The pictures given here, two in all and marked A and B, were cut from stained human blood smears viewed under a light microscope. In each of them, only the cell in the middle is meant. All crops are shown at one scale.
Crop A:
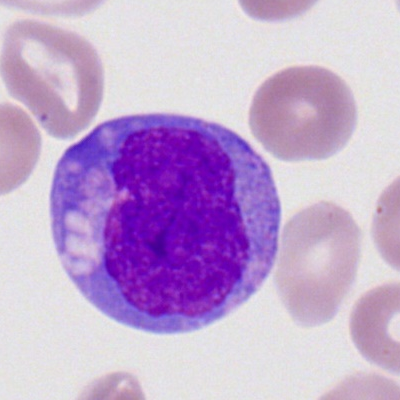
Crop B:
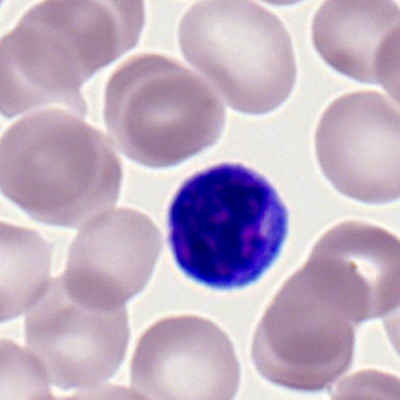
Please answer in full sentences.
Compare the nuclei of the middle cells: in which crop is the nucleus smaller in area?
The nucleus in crop B is smaller; the one in crop A has about 2.5 times its area.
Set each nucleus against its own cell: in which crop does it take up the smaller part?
In crop A the nucleus takes up the smaller part of its cell.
